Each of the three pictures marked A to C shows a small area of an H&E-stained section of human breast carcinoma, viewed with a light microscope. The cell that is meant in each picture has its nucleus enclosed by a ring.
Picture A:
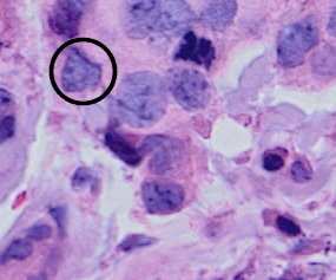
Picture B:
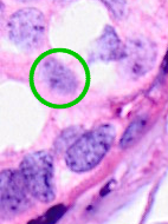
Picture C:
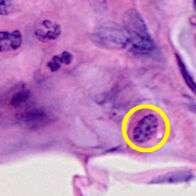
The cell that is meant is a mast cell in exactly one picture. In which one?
C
